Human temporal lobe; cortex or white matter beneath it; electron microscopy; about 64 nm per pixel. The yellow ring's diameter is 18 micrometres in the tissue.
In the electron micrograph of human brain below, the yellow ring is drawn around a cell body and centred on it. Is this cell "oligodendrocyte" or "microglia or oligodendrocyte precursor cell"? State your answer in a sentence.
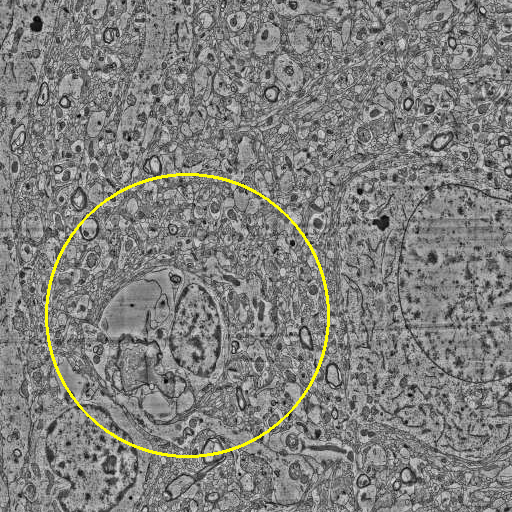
The cell in the middle of the ring is a microglial cell or oligodendrocyte precursor cell.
